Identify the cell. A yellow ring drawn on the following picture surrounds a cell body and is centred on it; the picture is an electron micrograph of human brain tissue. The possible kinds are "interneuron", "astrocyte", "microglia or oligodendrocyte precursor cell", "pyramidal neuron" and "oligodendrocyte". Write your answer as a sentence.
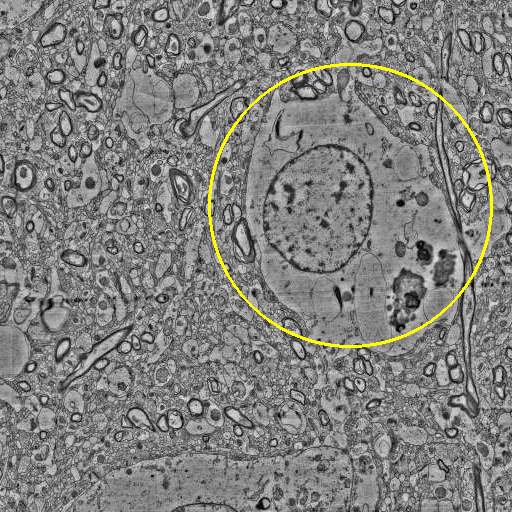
The cell identified by the ring is an astrocyte.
